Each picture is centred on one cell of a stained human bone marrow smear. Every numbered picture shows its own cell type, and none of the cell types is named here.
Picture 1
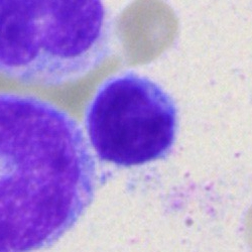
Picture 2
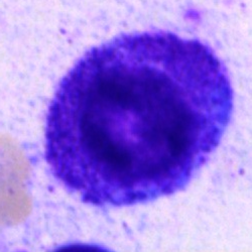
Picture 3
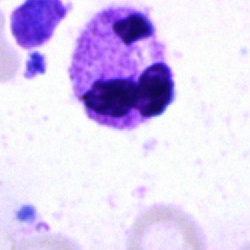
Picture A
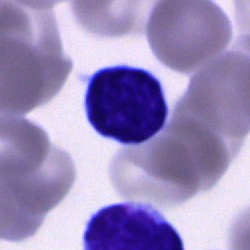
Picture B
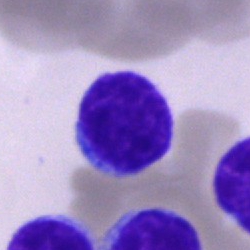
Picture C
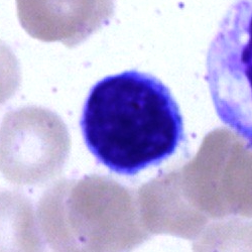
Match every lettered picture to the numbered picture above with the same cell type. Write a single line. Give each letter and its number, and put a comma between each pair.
A 1, B 1, C 1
